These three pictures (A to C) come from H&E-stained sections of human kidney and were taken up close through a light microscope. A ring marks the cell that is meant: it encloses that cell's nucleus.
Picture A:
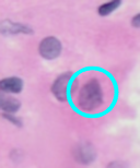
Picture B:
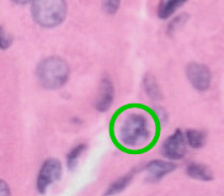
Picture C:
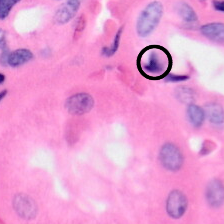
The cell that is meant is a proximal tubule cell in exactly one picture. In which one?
A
